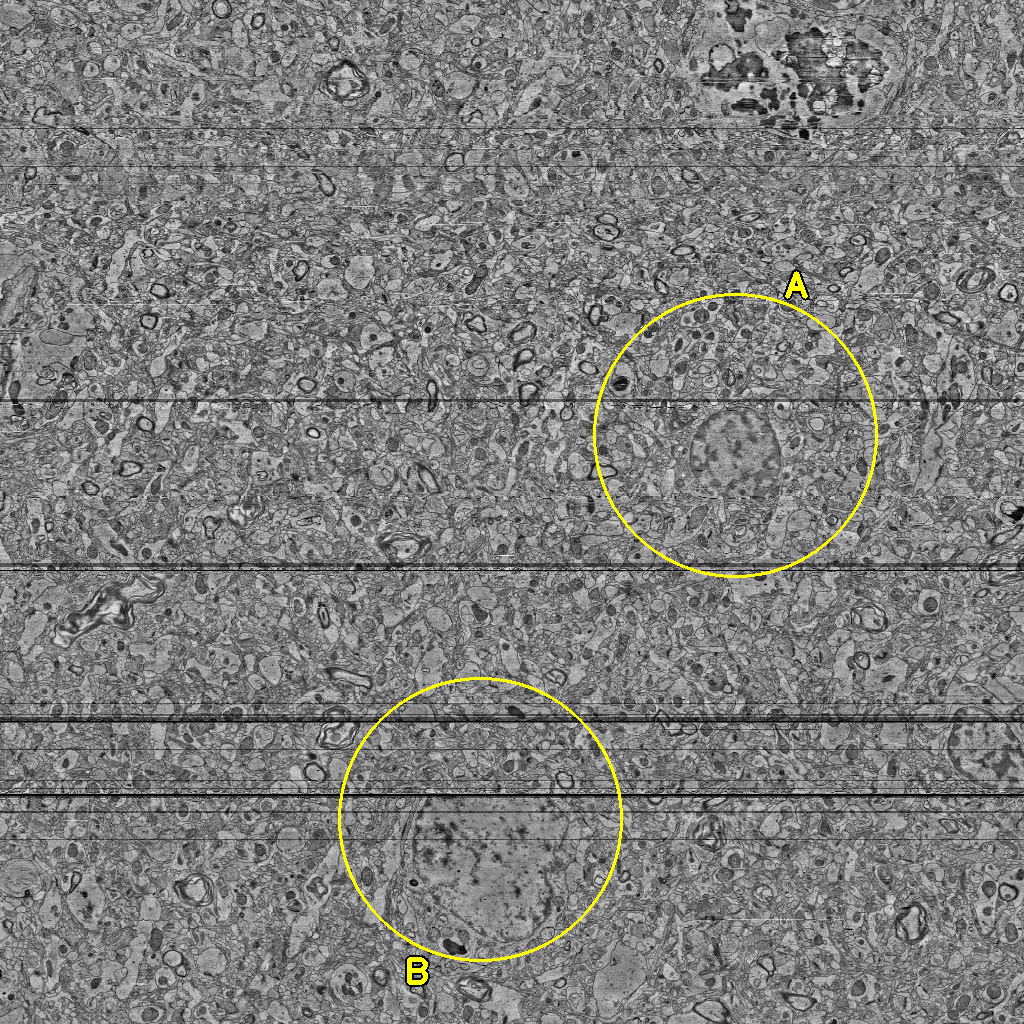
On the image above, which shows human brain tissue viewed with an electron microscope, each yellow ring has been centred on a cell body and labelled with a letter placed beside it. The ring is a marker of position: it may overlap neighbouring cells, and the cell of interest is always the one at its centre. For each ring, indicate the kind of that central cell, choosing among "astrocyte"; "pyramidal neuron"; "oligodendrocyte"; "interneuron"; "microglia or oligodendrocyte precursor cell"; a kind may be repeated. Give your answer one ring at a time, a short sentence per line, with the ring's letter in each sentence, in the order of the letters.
Ring A shows an oligodendrocyte at its centre.
Ring B shows an interneuron at its centre.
